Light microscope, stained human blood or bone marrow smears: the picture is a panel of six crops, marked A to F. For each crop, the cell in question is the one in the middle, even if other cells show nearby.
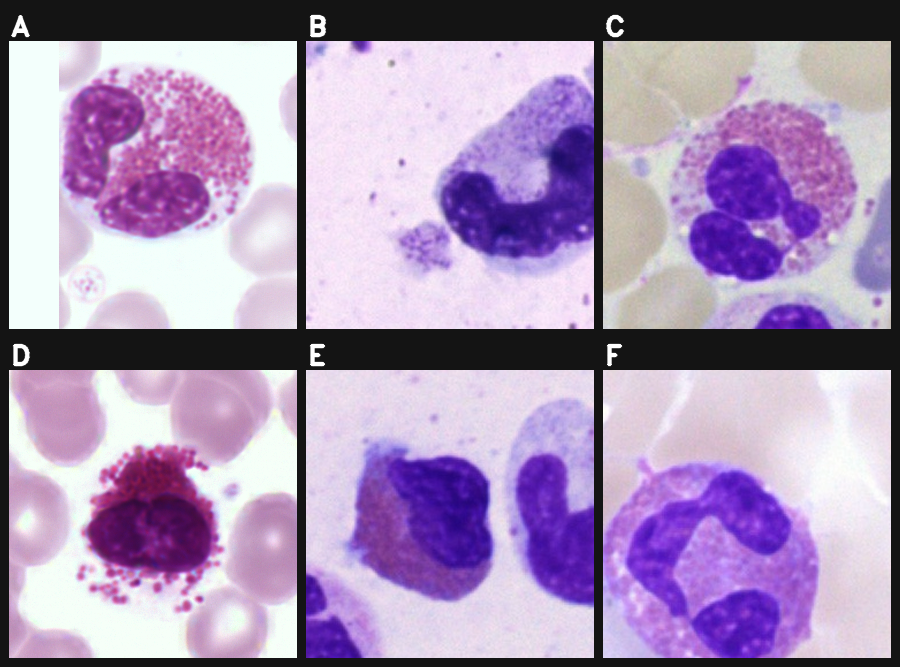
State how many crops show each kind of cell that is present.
eosinophil: 5
band neutrophil: 1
